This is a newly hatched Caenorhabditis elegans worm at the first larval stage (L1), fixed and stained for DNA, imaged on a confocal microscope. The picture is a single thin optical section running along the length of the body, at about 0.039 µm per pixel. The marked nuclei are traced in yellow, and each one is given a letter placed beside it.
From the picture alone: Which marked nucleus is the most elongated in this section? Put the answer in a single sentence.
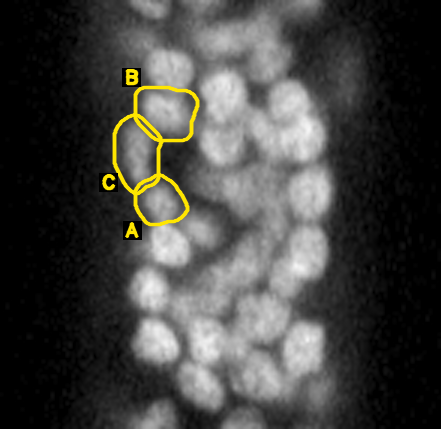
C is the most elongated.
